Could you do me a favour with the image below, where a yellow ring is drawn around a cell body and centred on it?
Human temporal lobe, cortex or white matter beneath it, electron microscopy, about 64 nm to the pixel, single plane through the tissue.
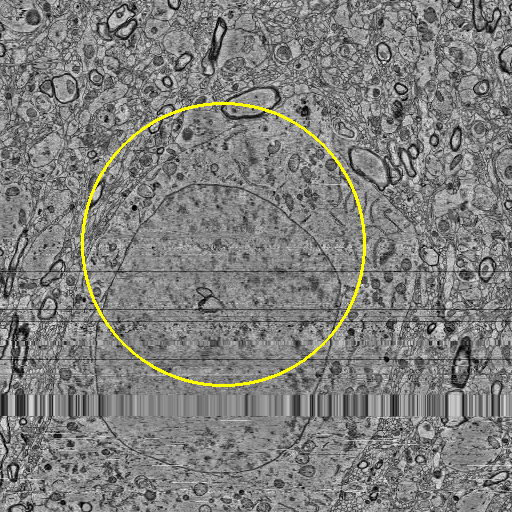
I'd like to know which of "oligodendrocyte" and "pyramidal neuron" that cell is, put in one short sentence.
The cell at the ring's centre is a pyramidal neuron.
